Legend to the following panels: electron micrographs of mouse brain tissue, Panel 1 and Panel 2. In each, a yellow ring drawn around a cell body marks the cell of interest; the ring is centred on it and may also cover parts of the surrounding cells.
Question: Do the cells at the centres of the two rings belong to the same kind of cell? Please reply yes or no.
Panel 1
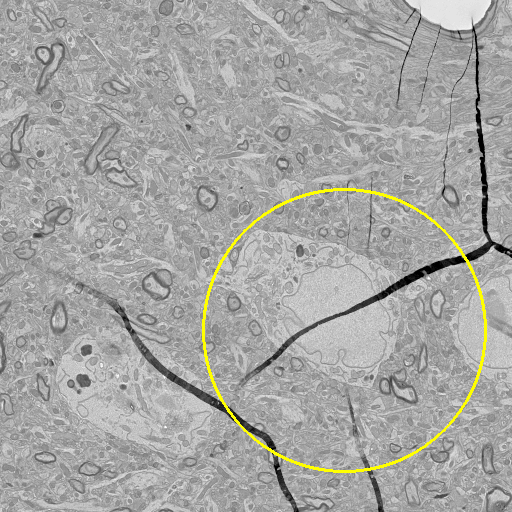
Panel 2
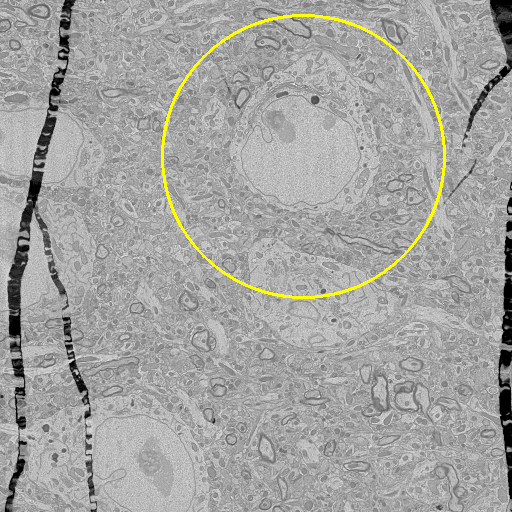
no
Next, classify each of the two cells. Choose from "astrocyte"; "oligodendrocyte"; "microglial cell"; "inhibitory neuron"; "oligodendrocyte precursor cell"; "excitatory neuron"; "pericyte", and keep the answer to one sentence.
In the first picture it is an inhibitory neuron; in the second it is an excitatory neuron.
